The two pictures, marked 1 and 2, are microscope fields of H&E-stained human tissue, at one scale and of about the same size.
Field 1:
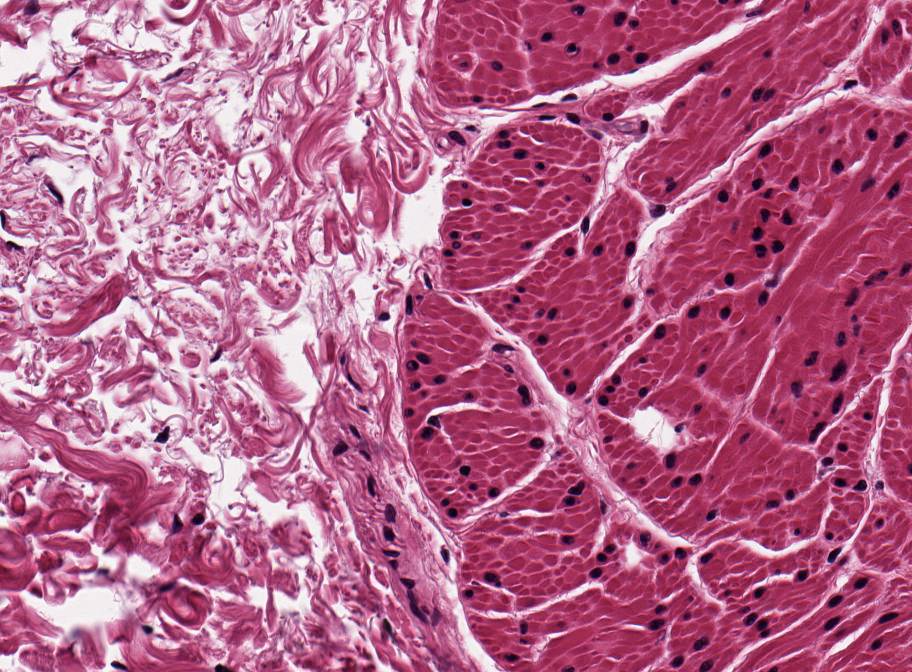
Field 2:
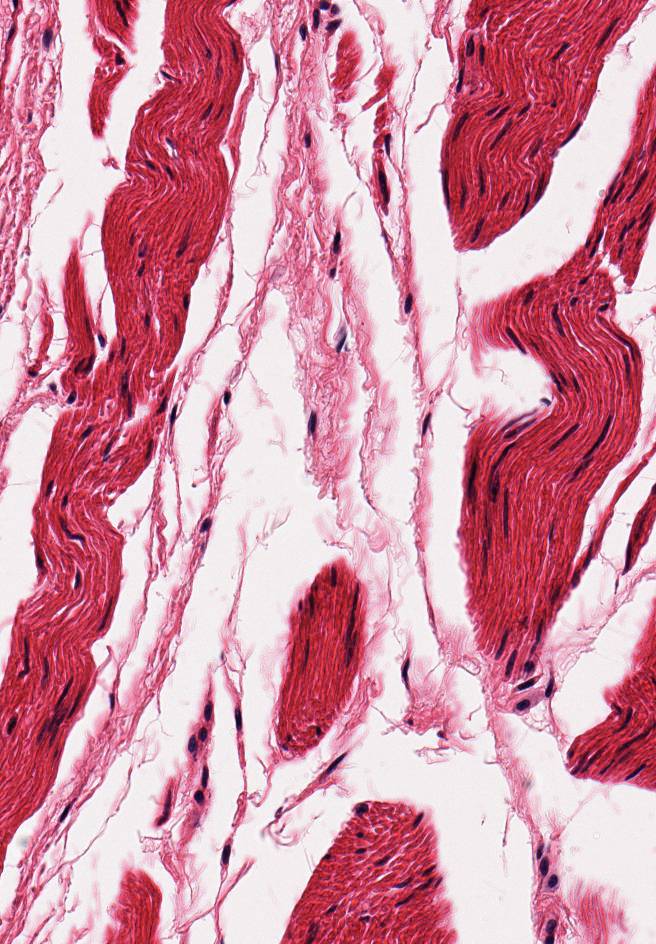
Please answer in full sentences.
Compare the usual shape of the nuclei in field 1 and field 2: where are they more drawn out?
The nuclei are more elongated in field 2.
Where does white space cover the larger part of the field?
Field 2 has more white space.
